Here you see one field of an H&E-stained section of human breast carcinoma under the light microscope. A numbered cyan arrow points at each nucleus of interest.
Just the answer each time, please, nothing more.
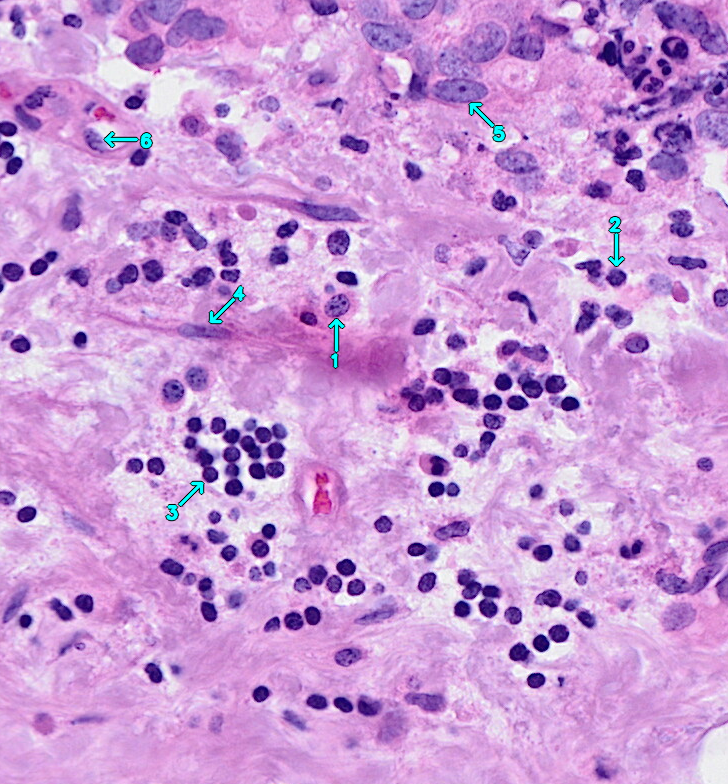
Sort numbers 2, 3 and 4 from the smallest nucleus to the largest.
3, 2, 4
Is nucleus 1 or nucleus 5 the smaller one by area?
1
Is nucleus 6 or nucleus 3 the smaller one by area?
3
